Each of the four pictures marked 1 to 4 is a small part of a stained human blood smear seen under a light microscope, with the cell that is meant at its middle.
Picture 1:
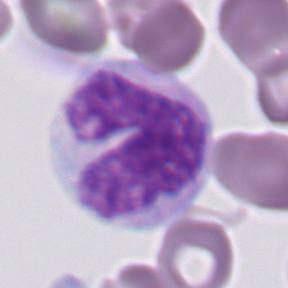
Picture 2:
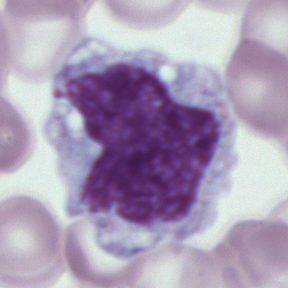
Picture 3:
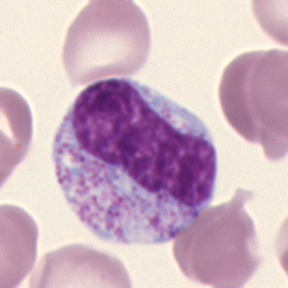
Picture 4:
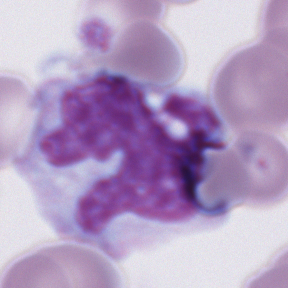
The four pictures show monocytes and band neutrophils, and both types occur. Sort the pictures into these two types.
1: band neutrophil
2: monocyte
3: band neutrophil
4: monocyte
